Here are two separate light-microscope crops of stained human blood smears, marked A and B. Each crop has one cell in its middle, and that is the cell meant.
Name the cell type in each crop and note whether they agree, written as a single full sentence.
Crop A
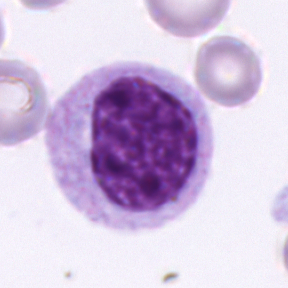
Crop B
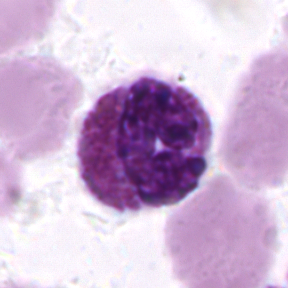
No, crop A depicts a myelocyte, and crop B depicts an eosinophil.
